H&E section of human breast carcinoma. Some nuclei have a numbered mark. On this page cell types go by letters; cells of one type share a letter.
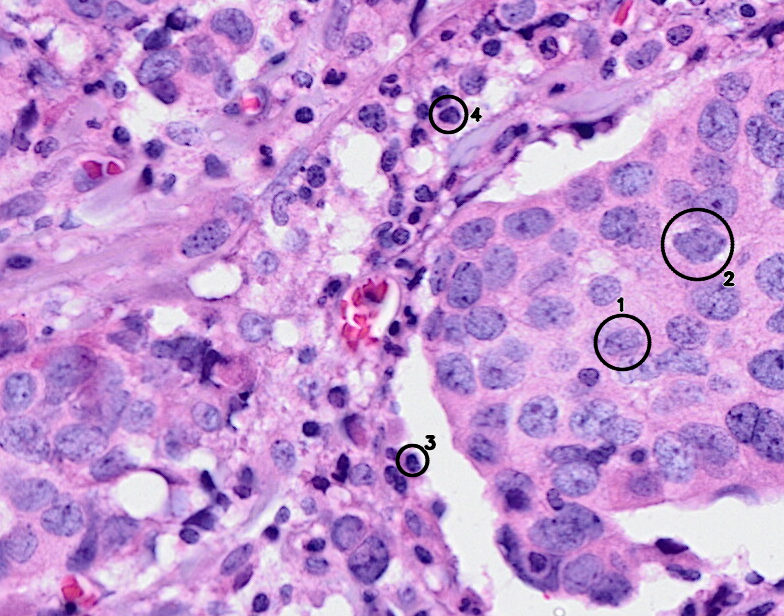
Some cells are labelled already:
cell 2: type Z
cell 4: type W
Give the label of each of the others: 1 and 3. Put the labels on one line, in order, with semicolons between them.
type Z; type W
